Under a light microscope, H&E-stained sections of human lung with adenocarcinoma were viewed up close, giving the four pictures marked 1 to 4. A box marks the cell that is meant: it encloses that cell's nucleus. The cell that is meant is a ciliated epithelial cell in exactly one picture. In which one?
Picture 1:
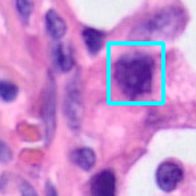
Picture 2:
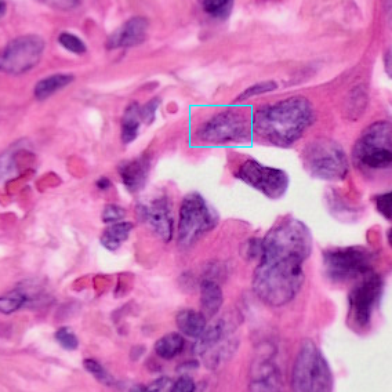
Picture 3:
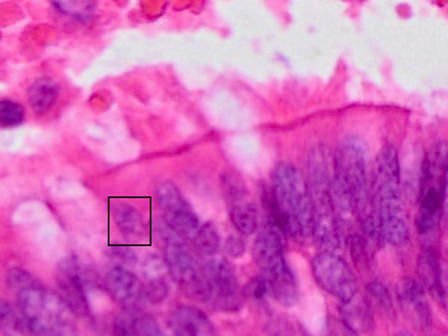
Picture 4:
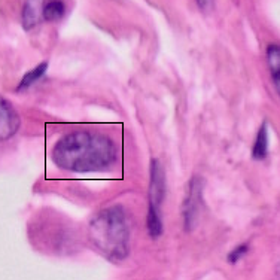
3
